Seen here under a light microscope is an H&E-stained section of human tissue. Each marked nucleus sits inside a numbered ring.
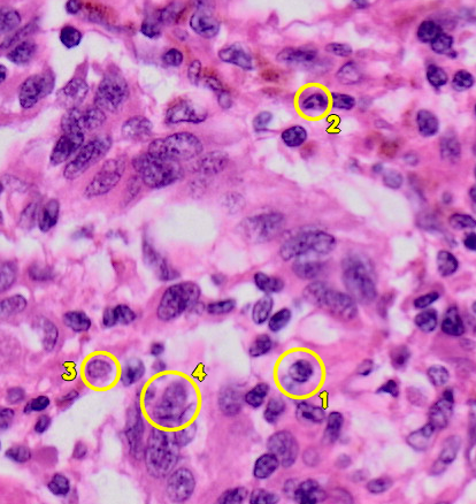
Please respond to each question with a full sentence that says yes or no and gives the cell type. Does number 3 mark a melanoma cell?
No, the cell indicated by 3 is a macrophage or monocyte instead of a melanoma cell.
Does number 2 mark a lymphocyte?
No, number 2 corresponds to a plasma cell, not a lymphocyte.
